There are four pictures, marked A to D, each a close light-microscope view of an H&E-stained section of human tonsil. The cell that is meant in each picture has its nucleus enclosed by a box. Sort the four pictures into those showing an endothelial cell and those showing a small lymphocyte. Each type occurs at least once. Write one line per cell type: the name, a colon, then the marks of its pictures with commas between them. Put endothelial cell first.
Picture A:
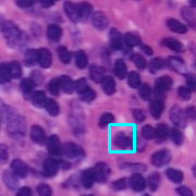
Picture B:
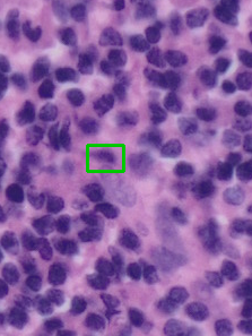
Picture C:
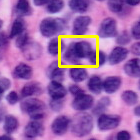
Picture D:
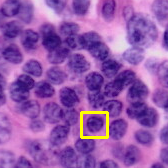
endothelial cell: A, B
small lymphocyte: C, D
